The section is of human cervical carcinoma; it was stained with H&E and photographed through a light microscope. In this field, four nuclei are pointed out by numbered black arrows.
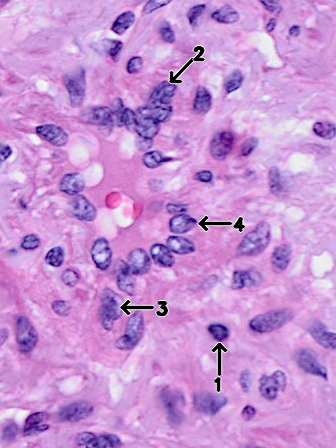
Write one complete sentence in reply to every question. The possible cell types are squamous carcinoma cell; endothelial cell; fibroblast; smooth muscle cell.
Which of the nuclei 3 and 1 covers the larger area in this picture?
Nucleus 3 is the larger one, covering about 1.5 times the area of nucleus 1.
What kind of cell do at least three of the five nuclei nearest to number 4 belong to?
Of the five nuclei nearest to number 4, most belong to endothelial cells.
